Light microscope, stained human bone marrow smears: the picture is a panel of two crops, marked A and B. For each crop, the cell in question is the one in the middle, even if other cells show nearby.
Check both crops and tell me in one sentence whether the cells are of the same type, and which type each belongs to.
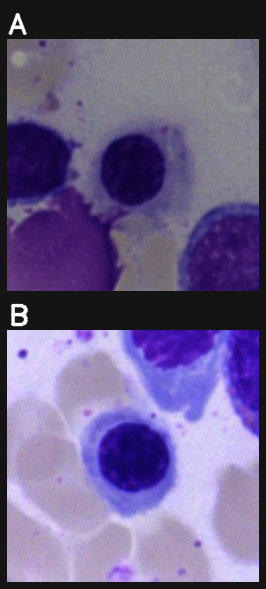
Yes, the centre of both crops is taken up by erythroblasts.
